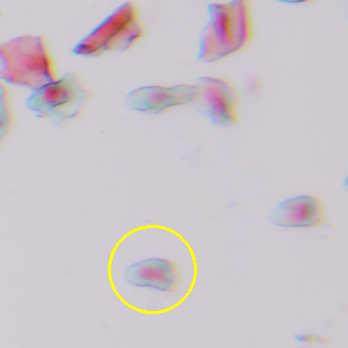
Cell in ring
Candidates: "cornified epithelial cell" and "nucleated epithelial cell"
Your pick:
nucleated epithelial cell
